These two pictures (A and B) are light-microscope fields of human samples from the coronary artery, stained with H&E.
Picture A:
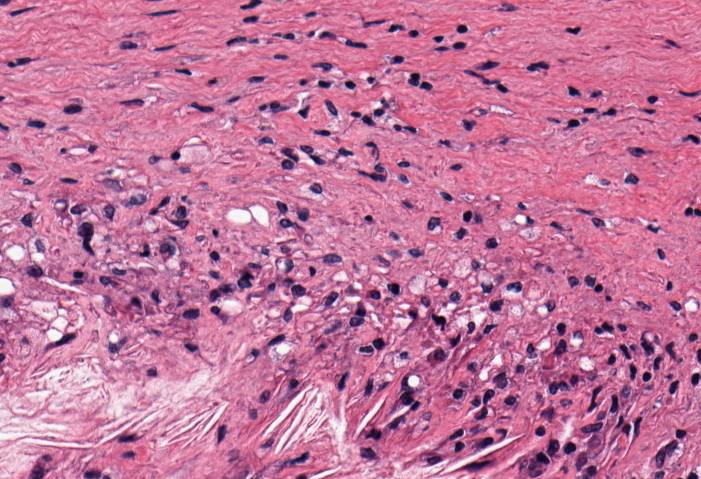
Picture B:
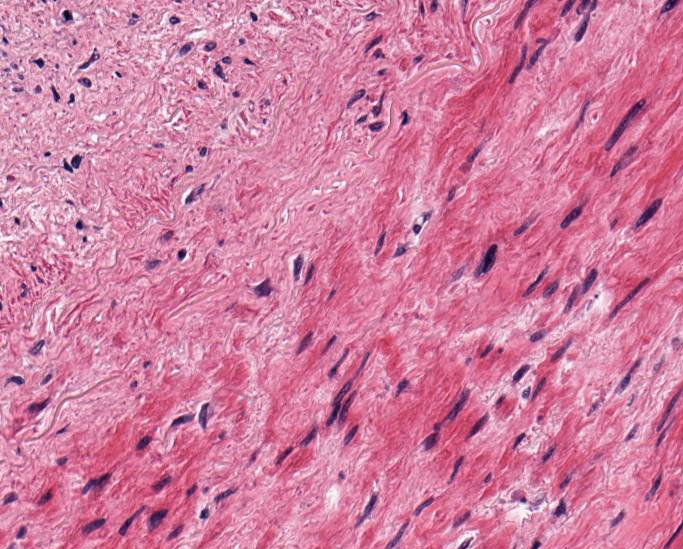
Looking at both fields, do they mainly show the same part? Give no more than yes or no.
no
